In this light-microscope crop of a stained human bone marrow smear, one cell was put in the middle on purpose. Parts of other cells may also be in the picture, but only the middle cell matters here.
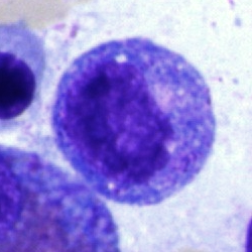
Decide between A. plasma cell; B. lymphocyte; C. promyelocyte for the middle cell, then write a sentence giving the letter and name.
Option C is correct in naming the middle cell a promyelocyte.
